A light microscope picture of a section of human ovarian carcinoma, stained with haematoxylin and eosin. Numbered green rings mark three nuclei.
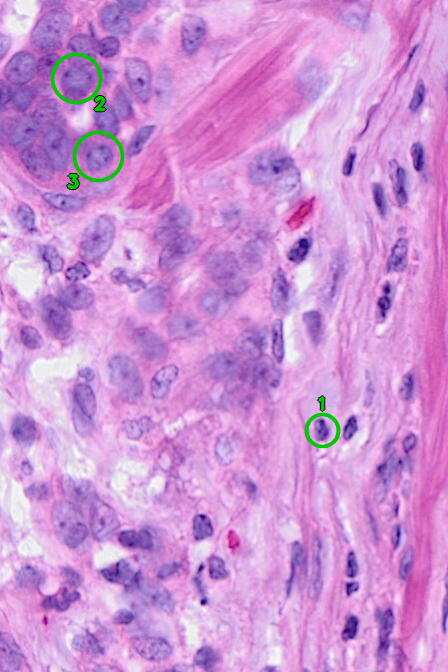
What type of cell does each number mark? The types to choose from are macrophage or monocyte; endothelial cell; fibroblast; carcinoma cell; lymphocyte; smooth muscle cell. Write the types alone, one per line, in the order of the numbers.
lymphocyte
carcinoma cell
carcinoma cell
